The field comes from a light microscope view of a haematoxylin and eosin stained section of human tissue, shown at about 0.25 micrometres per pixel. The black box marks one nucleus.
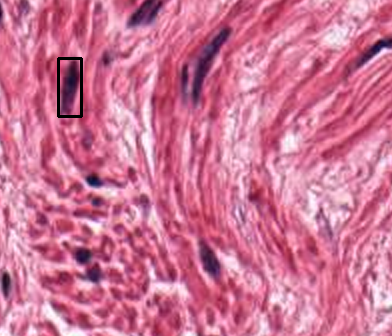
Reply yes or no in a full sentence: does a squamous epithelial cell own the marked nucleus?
No, the marked nucleus is not the nucleus belonging to a squamous epithelial cell.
